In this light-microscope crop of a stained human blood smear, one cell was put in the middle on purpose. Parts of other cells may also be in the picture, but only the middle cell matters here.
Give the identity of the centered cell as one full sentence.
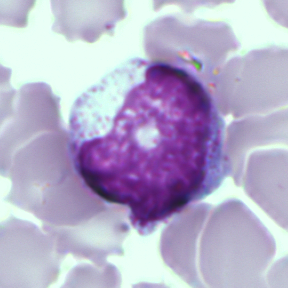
Seen at the centre of the crop is a metamyelocyte.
